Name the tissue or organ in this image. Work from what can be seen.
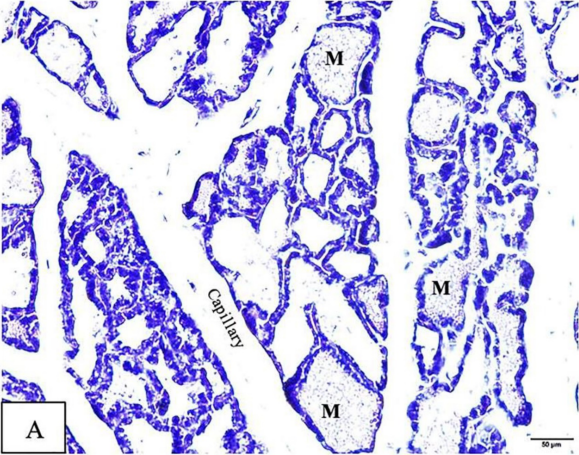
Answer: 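Many rounded and angular alveoli lined by a single thin layer of epithelial cells. Alveolar lumens hold pale granular secretion. Groups of alveoli are separated by clear spaces and thin septa.
Mammary glands.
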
